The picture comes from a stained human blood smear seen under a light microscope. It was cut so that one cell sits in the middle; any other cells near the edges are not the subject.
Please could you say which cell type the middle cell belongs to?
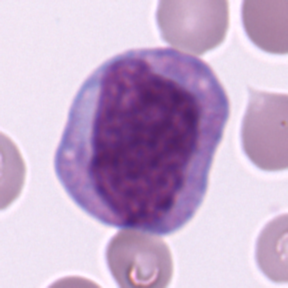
atypical promyelocyte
